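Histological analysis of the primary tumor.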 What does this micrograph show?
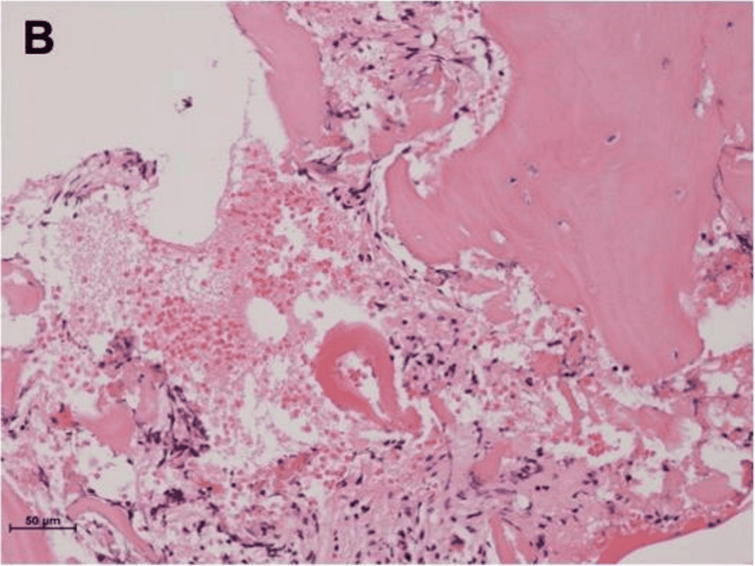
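This section shows irregular pieces of dense pink hard tissue, with tissue between them that is loose, fibrous and rich in cells. The intervening tissue contains pink fibrillar and strand-like material, consistent with proliferating collagen fibers. Elongated spindle-shaped and small dark nuclei are scattered among these fibers. Large collections of small red blood cells fill much of the centre, alongside a small vessel containing pink material. The nuclei are small, without marked enlargement or irregularity.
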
